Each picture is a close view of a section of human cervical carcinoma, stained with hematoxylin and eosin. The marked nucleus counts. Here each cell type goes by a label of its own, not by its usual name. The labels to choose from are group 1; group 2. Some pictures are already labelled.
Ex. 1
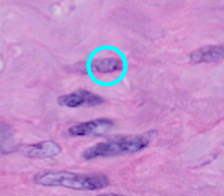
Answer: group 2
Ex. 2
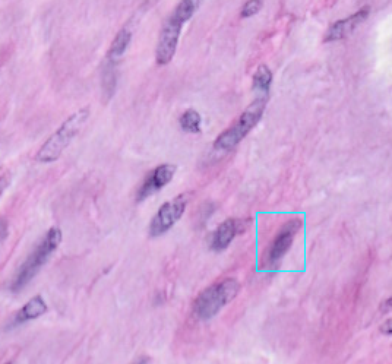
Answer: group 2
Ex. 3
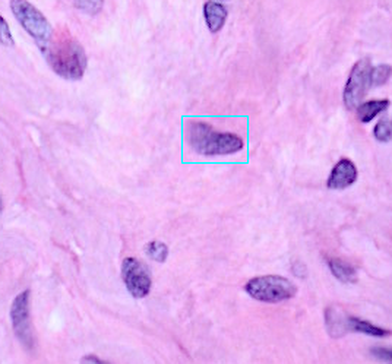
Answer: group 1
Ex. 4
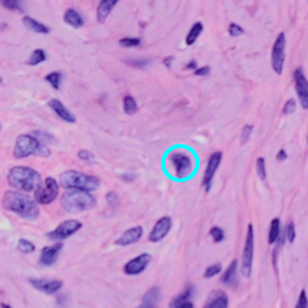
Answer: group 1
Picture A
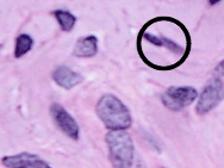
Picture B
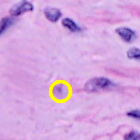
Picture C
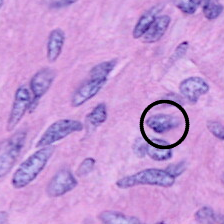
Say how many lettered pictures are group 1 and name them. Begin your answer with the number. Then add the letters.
1, namely A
